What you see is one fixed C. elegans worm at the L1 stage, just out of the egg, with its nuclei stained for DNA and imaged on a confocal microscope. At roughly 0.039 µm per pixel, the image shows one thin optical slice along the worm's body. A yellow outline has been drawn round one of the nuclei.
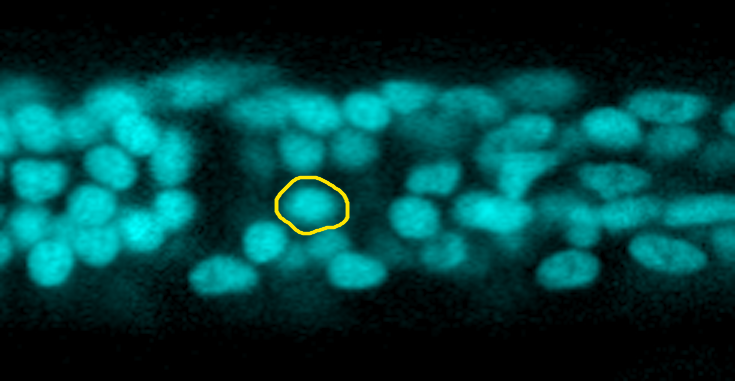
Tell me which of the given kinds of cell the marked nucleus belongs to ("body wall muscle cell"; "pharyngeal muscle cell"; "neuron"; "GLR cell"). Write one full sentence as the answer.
This nucleus is from a neuron.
